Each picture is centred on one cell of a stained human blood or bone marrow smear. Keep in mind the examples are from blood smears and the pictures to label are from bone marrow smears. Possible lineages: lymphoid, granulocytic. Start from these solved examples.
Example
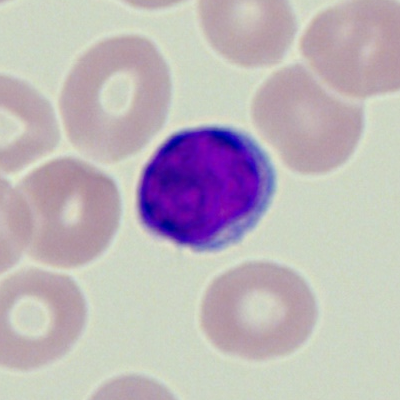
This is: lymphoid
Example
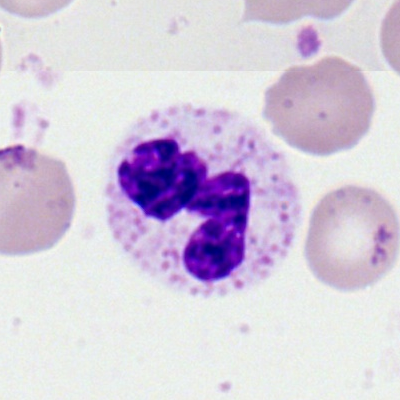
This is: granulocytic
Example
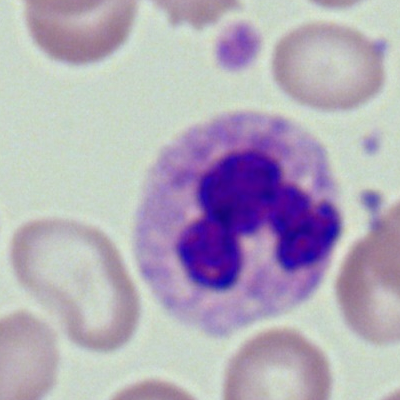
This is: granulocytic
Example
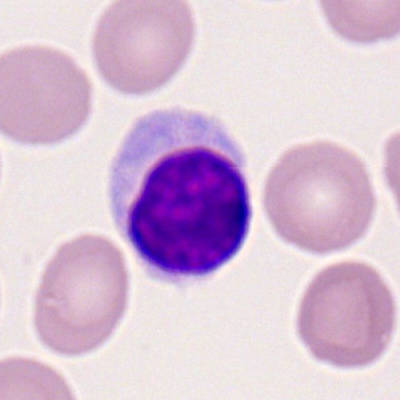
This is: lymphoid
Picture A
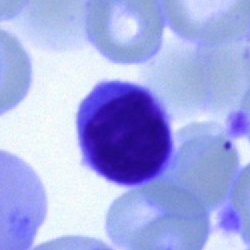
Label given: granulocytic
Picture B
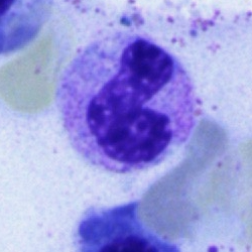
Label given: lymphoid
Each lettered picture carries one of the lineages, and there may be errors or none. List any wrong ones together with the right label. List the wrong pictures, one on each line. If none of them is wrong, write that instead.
A is labelled granulocytic; correct label: lymphoid
B is labelled lymphoid; correct label: granulocytic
